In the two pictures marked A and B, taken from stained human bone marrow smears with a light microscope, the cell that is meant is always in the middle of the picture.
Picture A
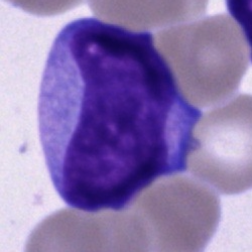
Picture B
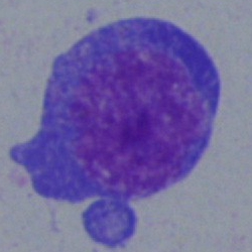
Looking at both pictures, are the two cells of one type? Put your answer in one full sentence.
Yes, they are the same type: both are blasts.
